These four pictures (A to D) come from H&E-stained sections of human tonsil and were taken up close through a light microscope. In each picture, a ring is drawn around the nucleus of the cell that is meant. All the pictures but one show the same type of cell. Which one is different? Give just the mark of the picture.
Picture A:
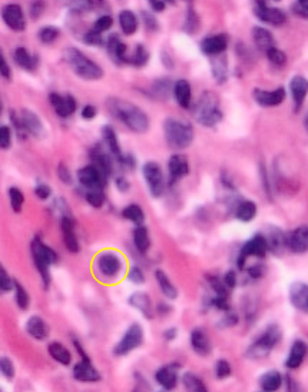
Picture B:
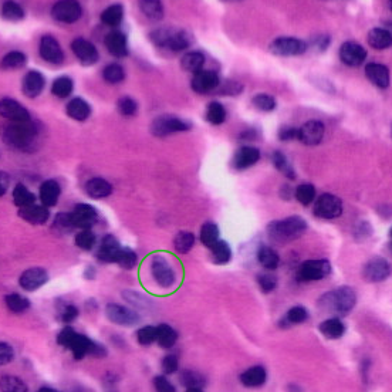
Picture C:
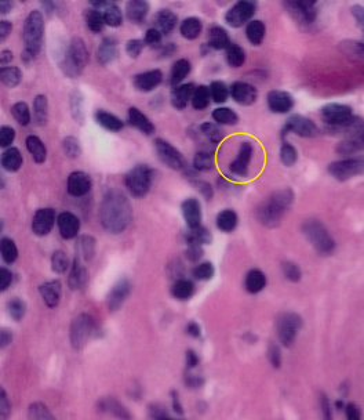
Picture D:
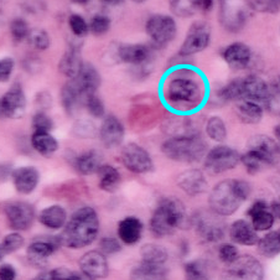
D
